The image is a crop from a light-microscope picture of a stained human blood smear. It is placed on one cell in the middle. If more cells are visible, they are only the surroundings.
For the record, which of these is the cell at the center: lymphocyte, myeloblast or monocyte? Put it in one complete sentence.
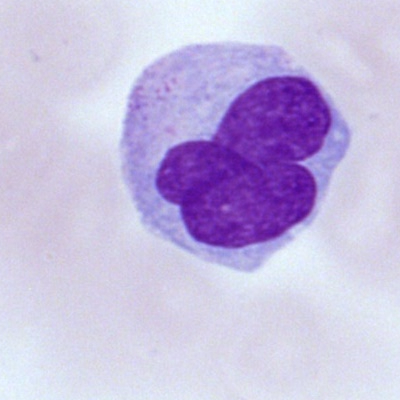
The central cell shown in this smear crop is a monocyte.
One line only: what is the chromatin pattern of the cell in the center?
The chromatin is delicate and fine, lacking coarse clumping entirely.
